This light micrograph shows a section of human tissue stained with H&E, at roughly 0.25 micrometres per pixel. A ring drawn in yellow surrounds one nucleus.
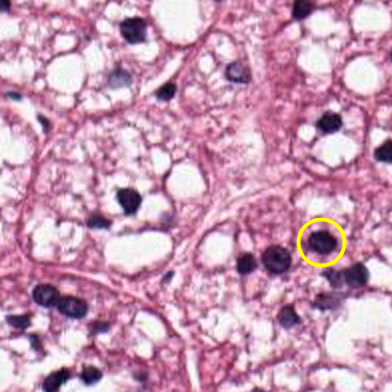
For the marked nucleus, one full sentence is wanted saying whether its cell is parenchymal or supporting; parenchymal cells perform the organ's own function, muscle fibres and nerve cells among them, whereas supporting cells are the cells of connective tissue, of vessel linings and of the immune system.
The nucleus marked here belongs to a parenchymal cell, namely an adrenal cortical cell.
